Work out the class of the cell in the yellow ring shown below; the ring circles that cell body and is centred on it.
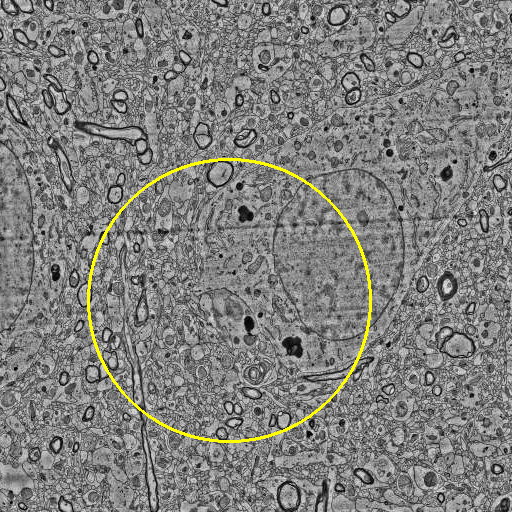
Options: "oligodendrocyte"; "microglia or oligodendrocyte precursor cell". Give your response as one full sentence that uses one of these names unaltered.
The body ringed in yellow, right at the ring's centre, is that of an oligodendrocyte.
